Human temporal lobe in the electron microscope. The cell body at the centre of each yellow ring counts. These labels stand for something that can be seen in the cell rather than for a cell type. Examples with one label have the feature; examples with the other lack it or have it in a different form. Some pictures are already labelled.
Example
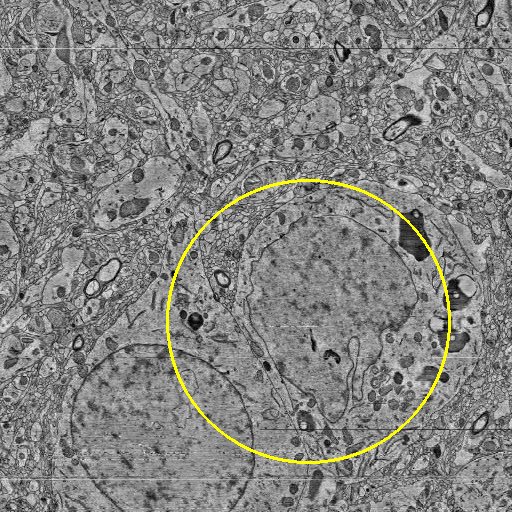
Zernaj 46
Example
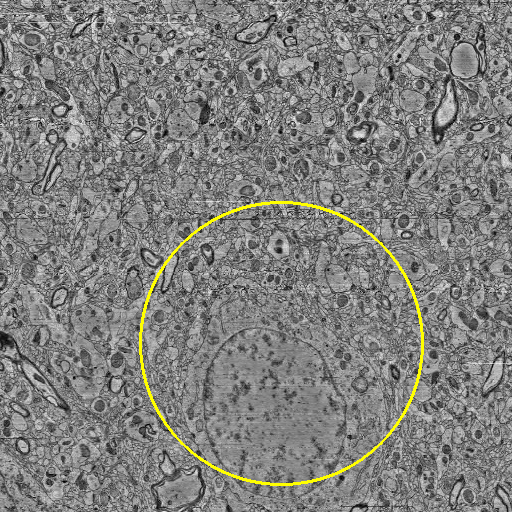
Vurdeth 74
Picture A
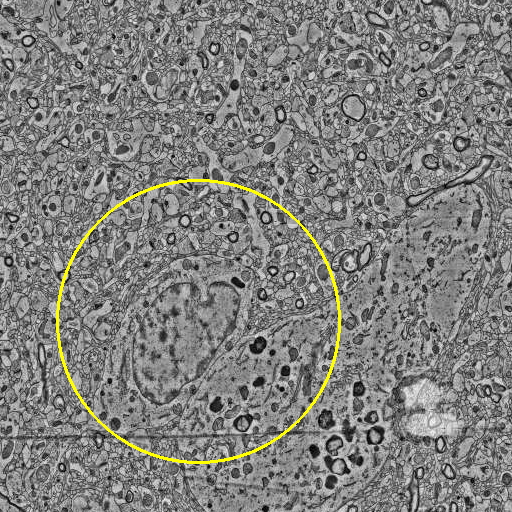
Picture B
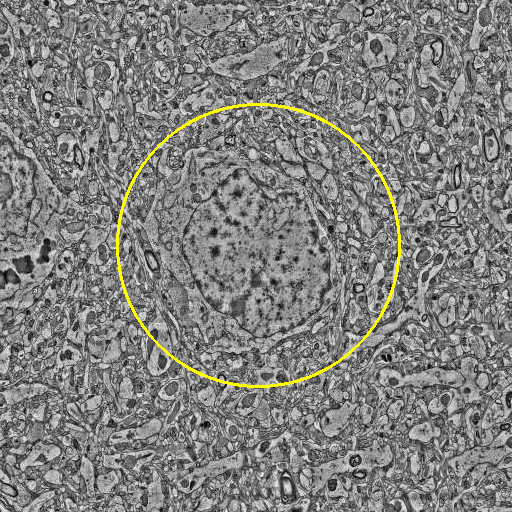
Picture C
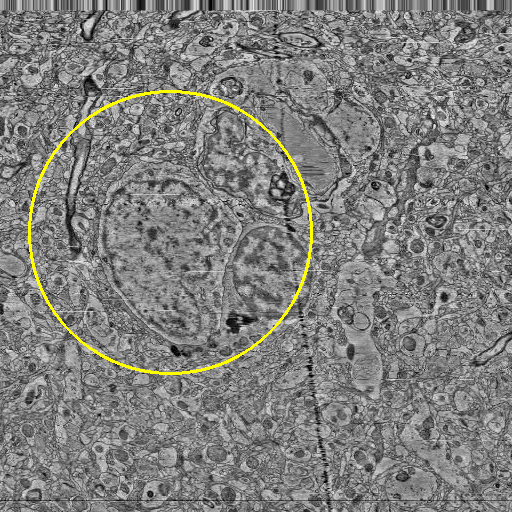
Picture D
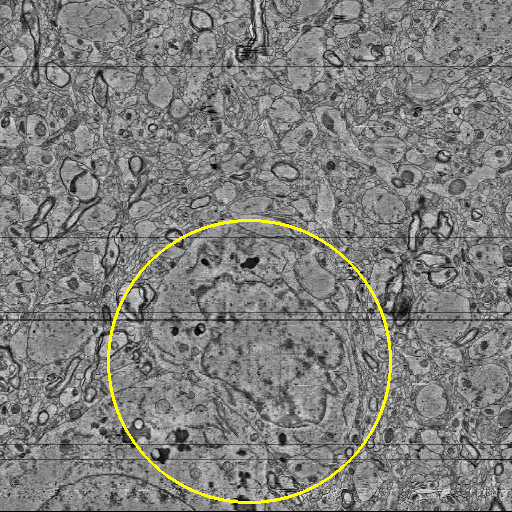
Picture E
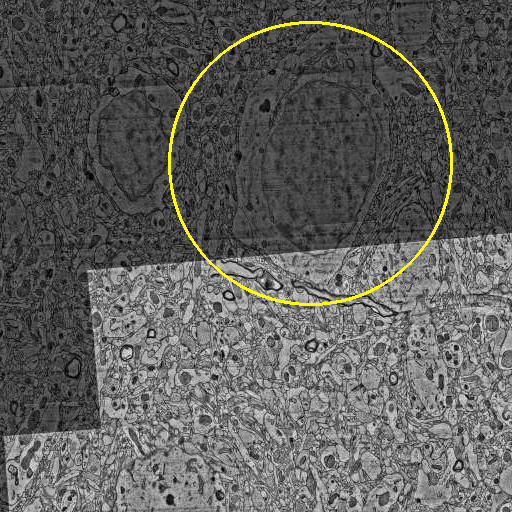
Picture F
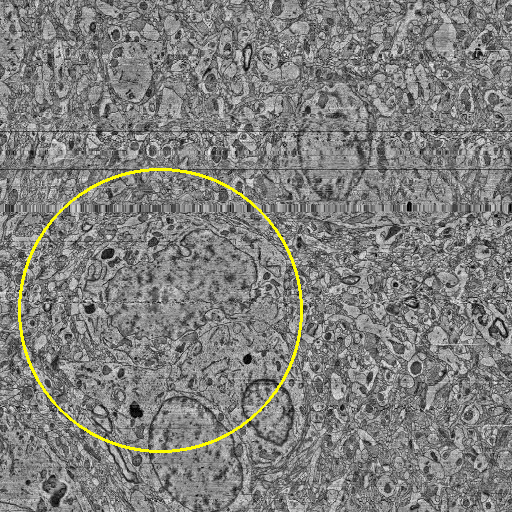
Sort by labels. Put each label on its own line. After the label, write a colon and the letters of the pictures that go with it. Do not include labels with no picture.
Zernaj 46: A, D, F
Vurdeth 74: B, C, E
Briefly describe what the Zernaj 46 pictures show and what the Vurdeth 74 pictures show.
Zernaj 46, deeply folded or indented nuclear envelopes; Vurdeth 74, smooth nuclear envelopes without deep folds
